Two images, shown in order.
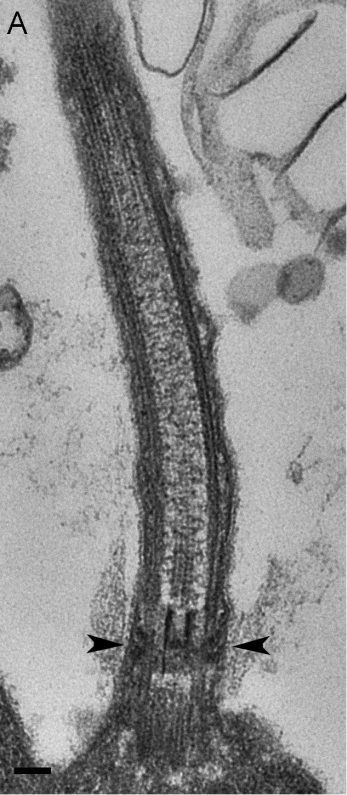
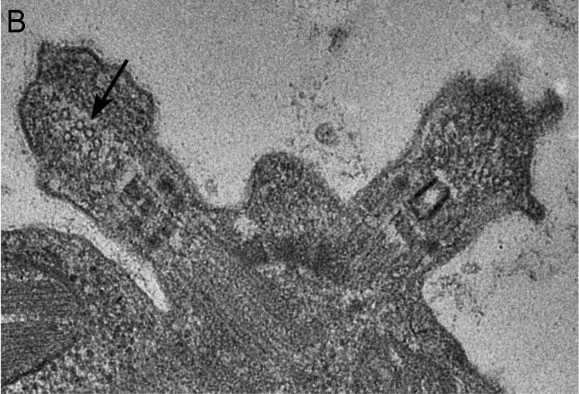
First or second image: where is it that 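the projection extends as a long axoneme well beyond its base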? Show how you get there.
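Second image: projections end shortly above their base in swollen tips of dense material. First image: a long slender projection with parallel microtubules runs far above its base.
Hence: the first image.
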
